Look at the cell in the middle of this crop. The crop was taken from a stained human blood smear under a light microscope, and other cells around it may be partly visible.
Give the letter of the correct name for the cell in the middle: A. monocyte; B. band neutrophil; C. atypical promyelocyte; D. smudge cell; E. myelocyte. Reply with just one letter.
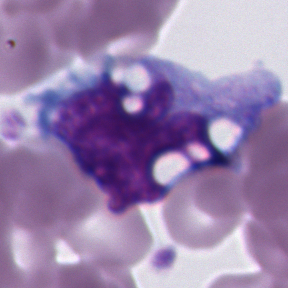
A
